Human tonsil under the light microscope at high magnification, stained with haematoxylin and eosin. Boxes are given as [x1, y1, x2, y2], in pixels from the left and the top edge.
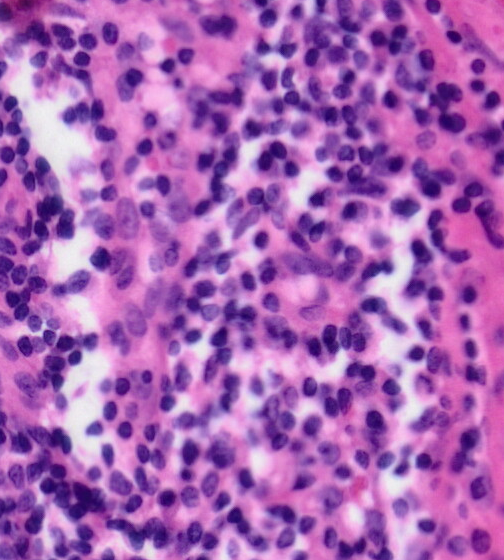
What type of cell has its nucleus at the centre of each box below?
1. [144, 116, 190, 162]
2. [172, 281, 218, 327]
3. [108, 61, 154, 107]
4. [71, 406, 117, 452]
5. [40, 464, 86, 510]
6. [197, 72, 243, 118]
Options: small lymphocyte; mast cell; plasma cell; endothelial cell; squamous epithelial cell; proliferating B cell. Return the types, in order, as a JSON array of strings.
["endothelial cell", "small lymphocyte", "endothelial cell", "small lymphocyte", "small lymphocyte", "endothelial cell"]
